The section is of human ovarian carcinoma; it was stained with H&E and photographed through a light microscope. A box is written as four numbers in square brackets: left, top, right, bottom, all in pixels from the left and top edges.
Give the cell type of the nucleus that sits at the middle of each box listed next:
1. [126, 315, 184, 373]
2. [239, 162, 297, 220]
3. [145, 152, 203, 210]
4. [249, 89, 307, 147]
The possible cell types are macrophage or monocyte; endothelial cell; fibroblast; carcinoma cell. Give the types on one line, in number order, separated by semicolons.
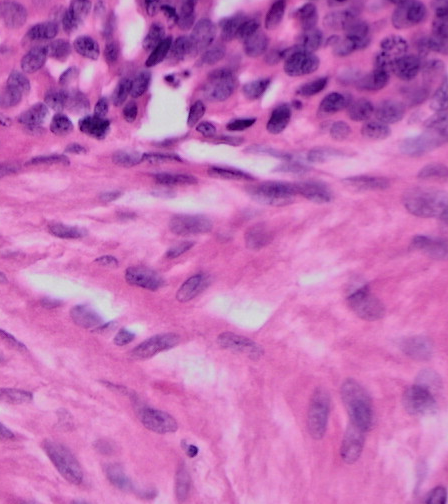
fibroblast; fibroblast; fibroblast; carcinoma cell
